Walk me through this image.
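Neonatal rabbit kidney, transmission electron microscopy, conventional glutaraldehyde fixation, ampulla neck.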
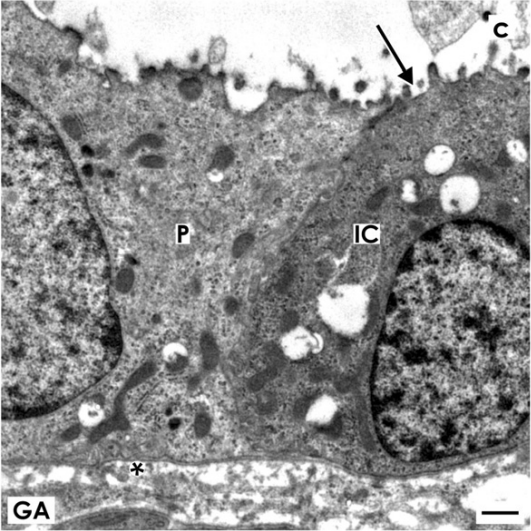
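The light cell has a pale, finely granular cytoplasm with scattered elongated mitochondria, while the neighbouring cell has a denser grey cytoplasm with many mitochondria and several clear vacuoles. Both have large oval nuclei with dispersed chromatin. At the bottom the cells rest on a thin basal lamina, beyond which lies loose interstitial space.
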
